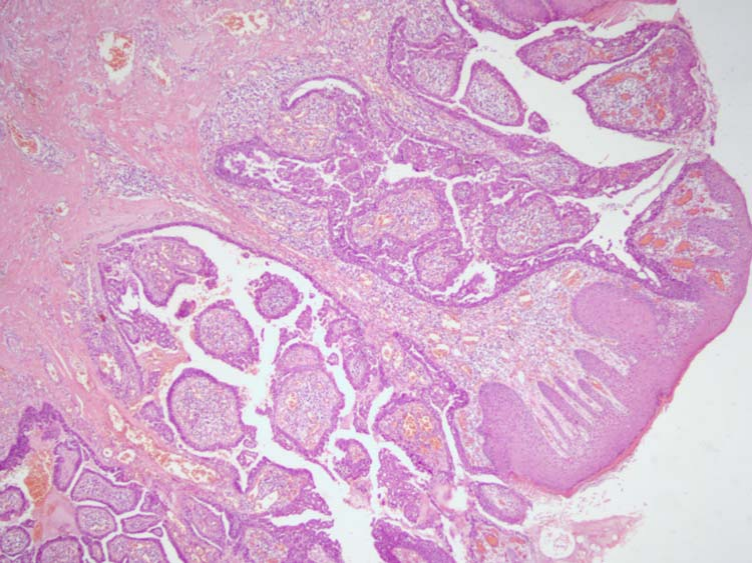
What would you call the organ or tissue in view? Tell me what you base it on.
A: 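Dermis. Pink fibrous connective tissue with scattered vessels surrounds the cystic structures. A stratified surface epithelium lies along the right edge.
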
